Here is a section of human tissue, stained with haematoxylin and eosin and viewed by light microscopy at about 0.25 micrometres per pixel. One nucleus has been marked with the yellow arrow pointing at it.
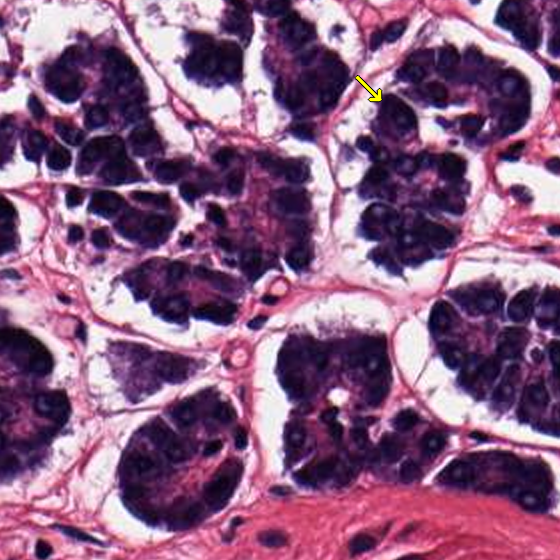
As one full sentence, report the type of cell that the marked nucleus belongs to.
The marked nucleus belongs, in this picture, to a pancreatic acinar cell.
